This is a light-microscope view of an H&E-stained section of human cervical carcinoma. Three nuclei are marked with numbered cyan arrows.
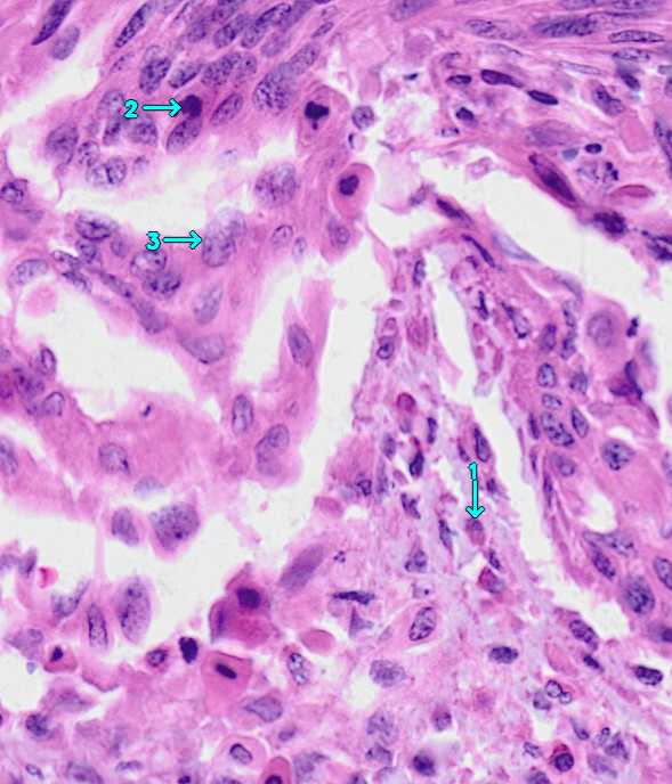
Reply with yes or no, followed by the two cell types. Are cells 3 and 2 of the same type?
Yes, cells 3 and 2 both belong to the category of squamous carcinoma cells.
